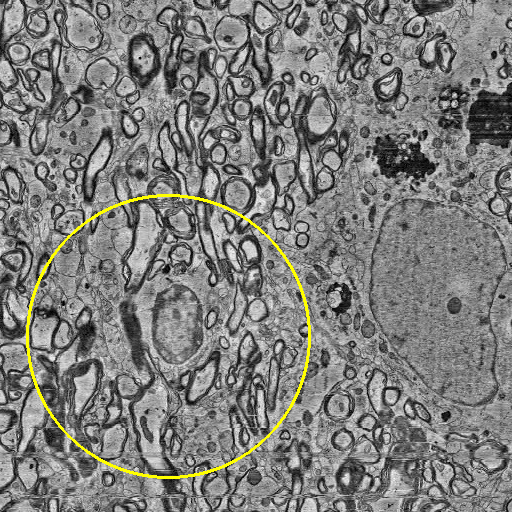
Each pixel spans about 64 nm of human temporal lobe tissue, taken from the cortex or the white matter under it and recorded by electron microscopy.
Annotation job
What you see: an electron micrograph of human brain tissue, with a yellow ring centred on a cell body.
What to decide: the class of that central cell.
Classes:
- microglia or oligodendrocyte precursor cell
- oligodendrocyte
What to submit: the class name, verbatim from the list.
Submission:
microglia or oligodendrocyte precursor cell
